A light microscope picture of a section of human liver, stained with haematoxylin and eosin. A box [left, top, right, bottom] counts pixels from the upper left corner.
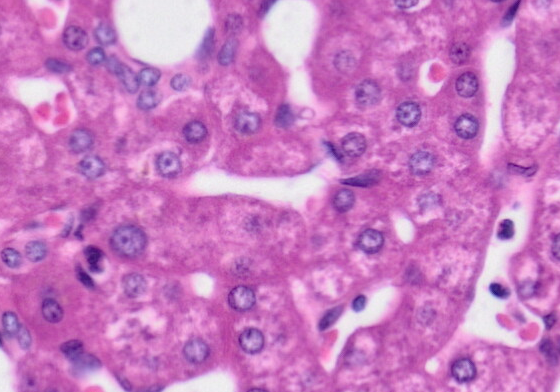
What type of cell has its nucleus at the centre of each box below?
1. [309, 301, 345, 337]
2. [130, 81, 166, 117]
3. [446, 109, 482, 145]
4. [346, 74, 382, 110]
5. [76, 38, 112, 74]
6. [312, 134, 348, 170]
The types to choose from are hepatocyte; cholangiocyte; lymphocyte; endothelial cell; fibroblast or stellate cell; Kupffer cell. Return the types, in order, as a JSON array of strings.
["Kupffer cell", "cholangiocyte", "hepatocyte", "hepatocyte", "cholangiocyte", "fibroblast or stellate cell"]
